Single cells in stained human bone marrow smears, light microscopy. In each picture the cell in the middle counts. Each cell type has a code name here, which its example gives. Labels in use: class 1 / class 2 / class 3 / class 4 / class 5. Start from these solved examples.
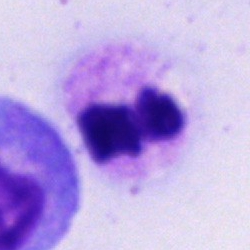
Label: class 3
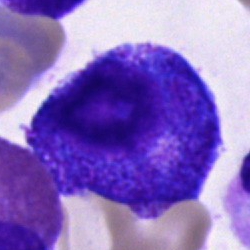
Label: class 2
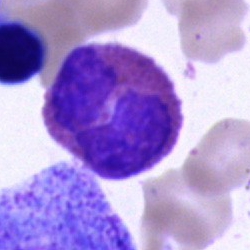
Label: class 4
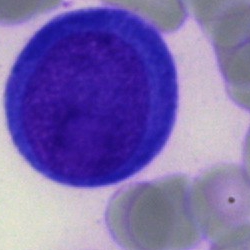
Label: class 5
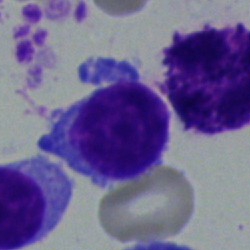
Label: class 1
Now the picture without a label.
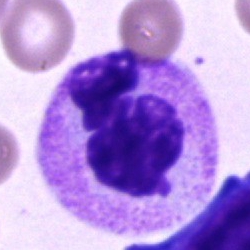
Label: class 3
